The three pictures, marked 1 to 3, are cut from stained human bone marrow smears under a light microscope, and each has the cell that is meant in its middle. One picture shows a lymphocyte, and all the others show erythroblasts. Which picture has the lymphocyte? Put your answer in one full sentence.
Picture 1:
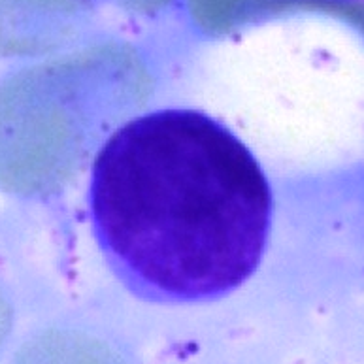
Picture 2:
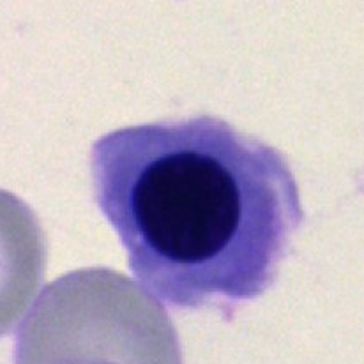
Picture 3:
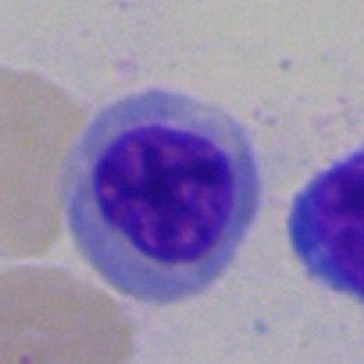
It is picture 1 that shows the lymphocyte.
